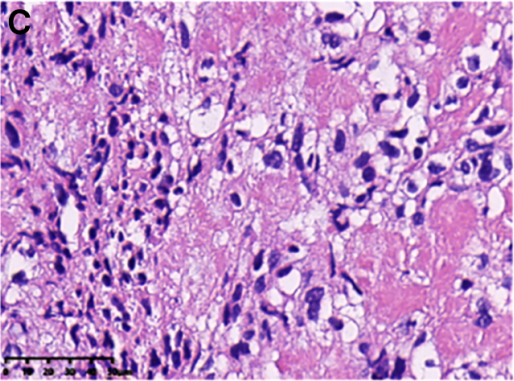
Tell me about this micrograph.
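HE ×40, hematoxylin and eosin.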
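At high magnification, tumor cells show elongated to ovoid, dark purple nuclei set in a pink fibrillary matrix. A denser band of spindle-shaped nuclei runs along one side, while the other side is looser with clear vacuoles among the cells. Some nuclei are enlarged and irregular, and the pink cytoplasm is poorly delimited, blending into the background.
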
